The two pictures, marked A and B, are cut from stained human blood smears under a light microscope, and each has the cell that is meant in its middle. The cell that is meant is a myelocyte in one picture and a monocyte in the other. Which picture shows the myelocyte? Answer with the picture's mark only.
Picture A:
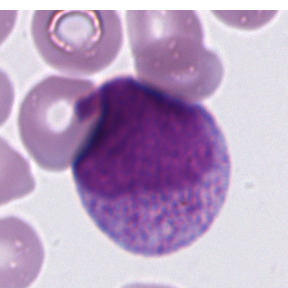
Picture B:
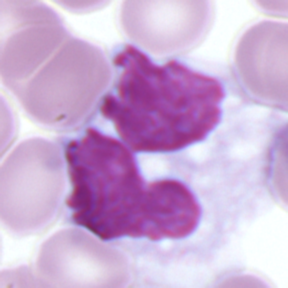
A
